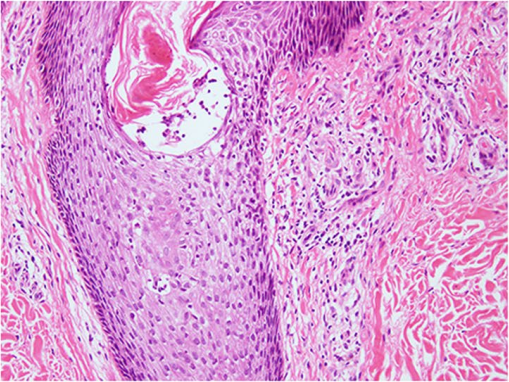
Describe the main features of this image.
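Skin in section showing a band of stratified squamous epithelium running obliquely through the field, with a darker purple basal layer along its border and pale pink keratinocytes inside. Near the top a rounded space within the epithelium contains pink keratinous material and scattered cells. The surrounding dermis has pink collagen bundles and numerous small cells with dark, round, compact nuclei and little cytoplasm, consistent with small lymphocytes, lying between the fibres and along the epithelium. Occasional similar small dark nuclei appear among the lower epithelial cells.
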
